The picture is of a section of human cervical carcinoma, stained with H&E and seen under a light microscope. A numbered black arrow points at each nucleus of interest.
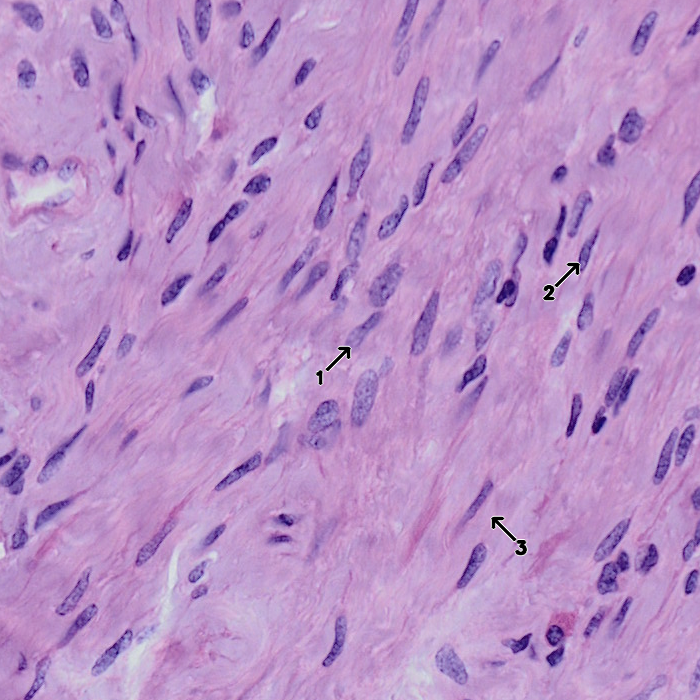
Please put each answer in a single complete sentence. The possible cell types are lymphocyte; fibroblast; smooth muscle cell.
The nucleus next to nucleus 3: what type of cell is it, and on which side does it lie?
The nearest nucleus is that of a fibroblast and lies below nucleus 3.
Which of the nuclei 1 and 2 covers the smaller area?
Nucleus 2 covers less area, with nucleus 1 about 2 times as large.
